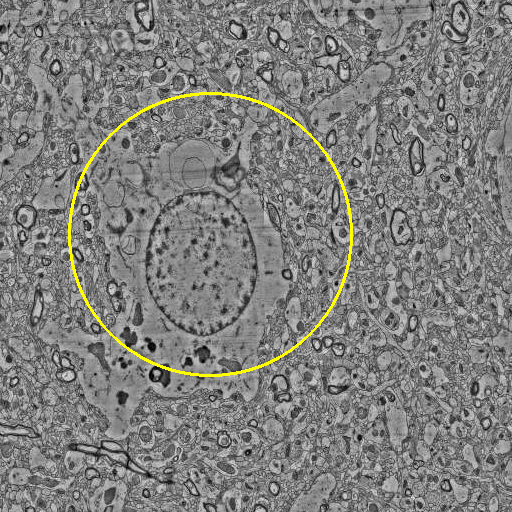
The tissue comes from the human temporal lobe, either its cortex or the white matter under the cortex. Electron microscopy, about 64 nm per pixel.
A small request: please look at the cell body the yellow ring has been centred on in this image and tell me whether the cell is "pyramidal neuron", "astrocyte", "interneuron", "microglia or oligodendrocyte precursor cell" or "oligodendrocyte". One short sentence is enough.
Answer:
The cell marked by the ring is an astrocyte.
